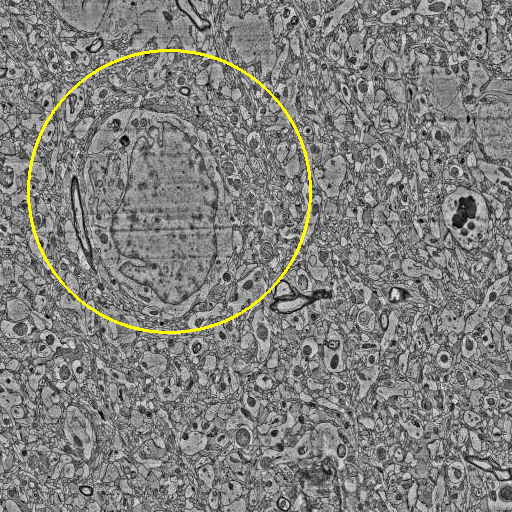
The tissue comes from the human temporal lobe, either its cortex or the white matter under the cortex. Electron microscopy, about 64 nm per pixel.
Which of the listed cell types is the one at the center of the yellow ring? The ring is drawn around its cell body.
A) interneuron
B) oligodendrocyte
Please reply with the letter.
A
